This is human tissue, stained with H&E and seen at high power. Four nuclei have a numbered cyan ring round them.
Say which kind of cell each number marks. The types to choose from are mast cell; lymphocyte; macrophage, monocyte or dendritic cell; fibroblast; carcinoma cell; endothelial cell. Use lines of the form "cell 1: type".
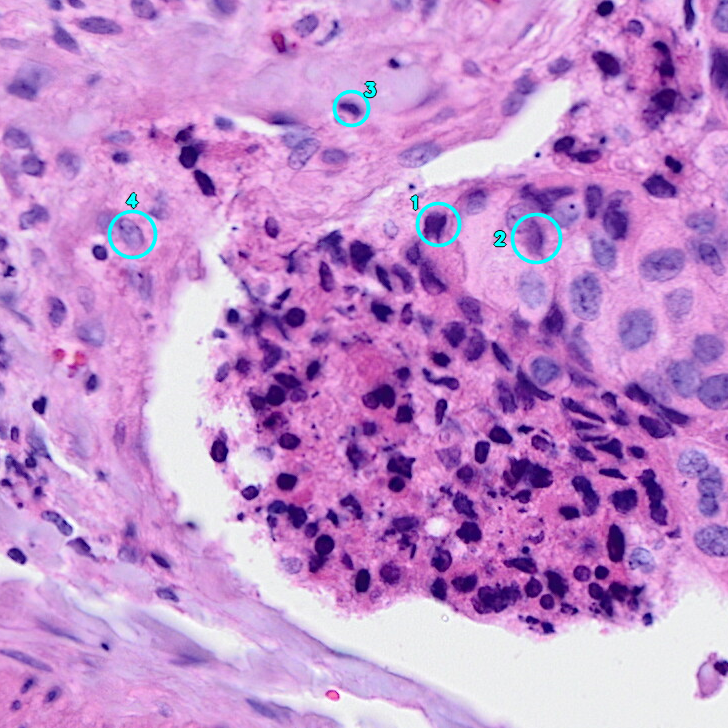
cell 1: carcinoma cell
cell 2: carcinoma cell
cell 3: lymphocyte
cell 4: endothelial cell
